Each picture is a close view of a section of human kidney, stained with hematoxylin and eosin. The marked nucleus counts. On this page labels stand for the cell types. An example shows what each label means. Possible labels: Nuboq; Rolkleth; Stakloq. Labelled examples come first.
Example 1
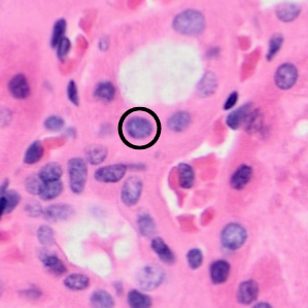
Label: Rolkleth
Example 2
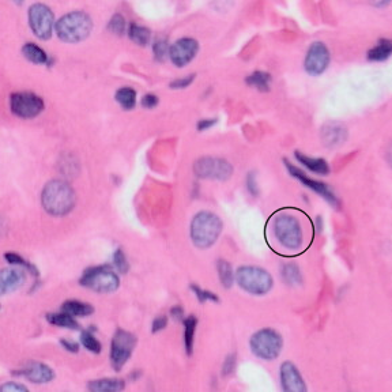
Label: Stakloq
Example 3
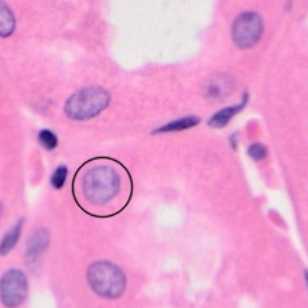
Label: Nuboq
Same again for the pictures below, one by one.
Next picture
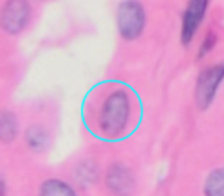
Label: Rolkleth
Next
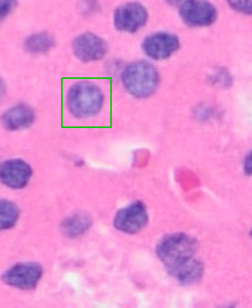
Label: Rolkleth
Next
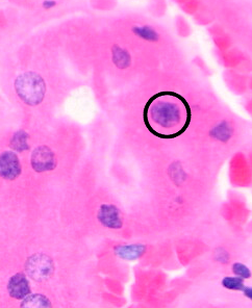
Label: Nuboq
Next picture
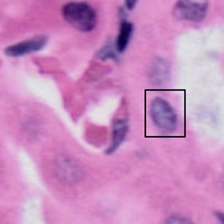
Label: Rolkleth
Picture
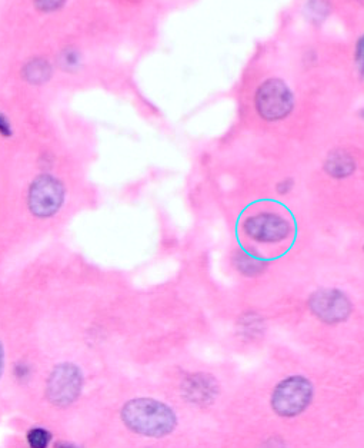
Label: Nuboq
